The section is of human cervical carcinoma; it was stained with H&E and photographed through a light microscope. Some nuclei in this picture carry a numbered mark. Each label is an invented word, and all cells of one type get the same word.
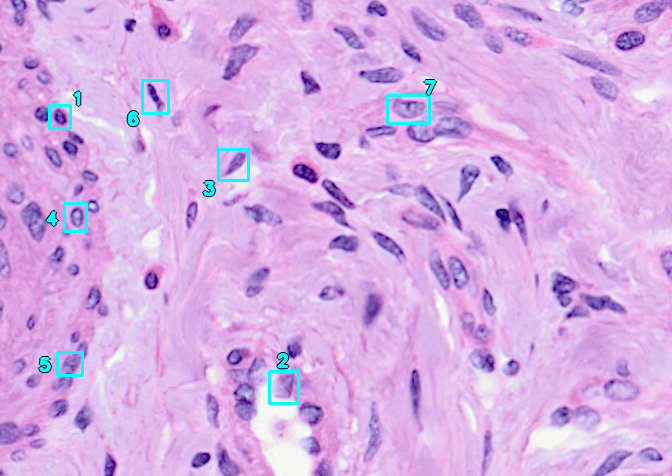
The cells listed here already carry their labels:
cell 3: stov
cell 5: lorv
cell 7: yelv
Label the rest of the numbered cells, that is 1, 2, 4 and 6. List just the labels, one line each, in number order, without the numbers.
lorv
yelv
lorv
stov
